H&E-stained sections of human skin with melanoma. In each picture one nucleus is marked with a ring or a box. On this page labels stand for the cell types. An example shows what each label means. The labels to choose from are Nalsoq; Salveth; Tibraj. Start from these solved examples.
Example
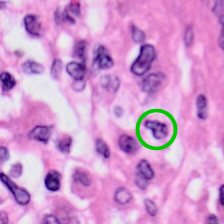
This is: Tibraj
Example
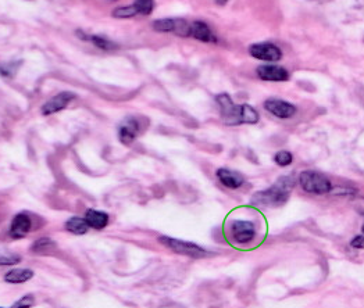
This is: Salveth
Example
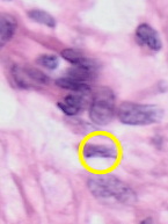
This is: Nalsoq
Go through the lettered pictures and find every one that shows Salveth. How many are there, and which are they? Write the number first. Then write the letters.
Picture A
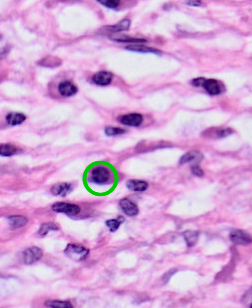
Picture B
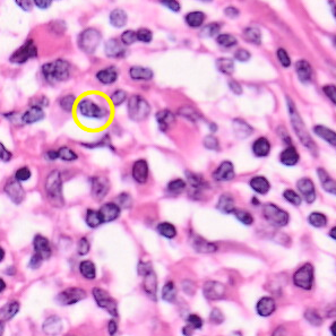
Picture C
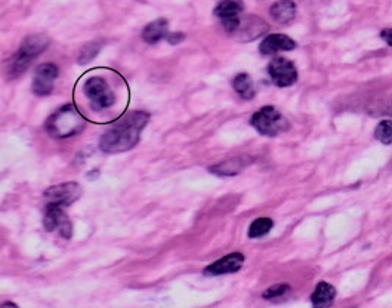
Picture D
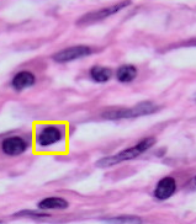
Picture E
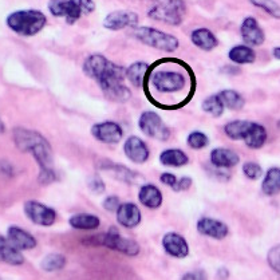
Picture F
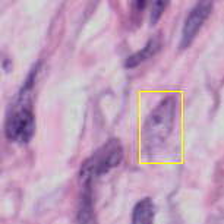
2, namely A, D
